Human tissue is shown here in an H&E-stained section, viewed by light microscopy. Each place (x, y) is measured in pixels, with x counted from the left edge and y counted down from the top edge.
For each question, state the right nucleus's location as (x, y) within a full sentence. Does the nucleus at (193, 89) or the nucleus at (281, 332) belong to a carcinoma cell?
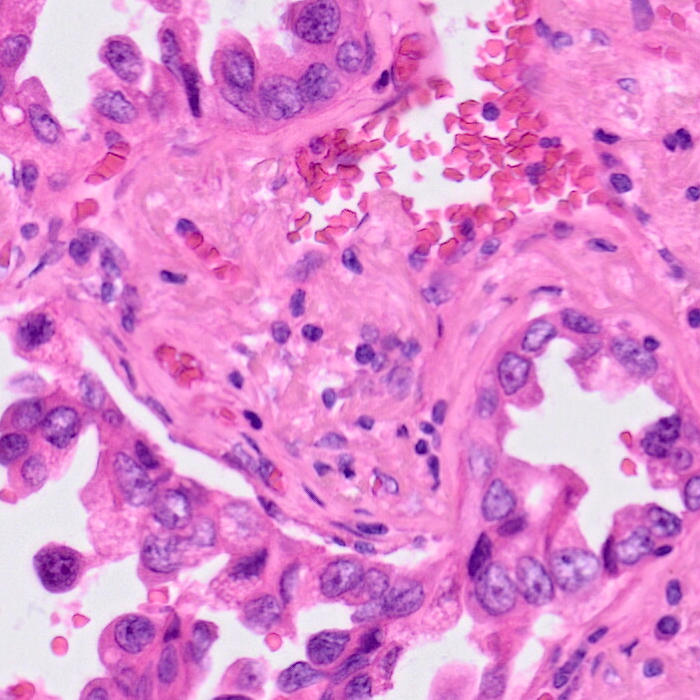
Of the two nuclei, the one sitting at (193, 89) belongs to a carcinoma cell.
